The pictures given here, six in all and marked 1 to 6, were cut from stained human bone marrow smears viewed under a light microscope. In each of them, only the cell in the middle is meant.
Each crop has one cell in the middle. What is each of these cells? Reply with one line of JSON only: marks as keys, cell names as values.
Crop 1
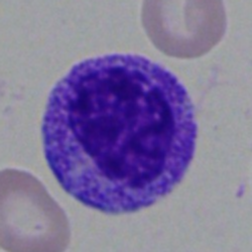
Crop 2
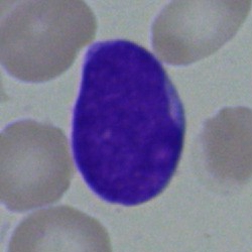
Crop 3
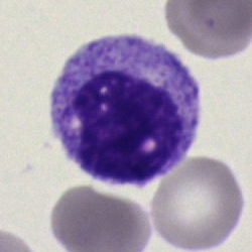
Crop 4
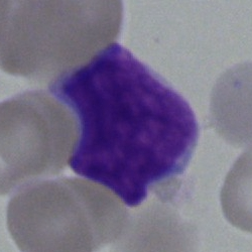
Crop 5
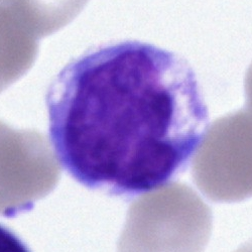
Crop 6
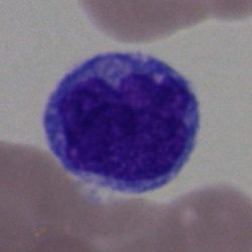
{"1": "myelocyte", "2": "blast", "3": "myelocyte", "4": "blast", "5": "monocyte", "6": "monocyte"}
